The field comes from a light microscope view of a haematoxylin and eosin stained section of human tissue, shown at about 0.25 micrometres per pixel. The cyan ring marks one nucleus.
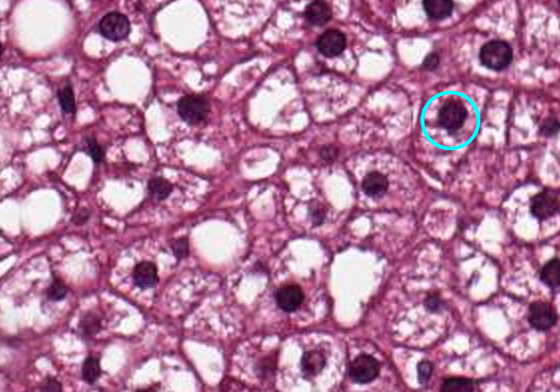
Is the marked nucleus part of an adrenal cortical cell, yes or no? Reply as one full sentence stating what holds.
Yes, the marked nucleus is in an adrenal cortical cell.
